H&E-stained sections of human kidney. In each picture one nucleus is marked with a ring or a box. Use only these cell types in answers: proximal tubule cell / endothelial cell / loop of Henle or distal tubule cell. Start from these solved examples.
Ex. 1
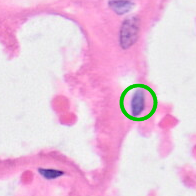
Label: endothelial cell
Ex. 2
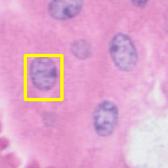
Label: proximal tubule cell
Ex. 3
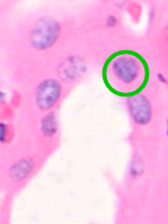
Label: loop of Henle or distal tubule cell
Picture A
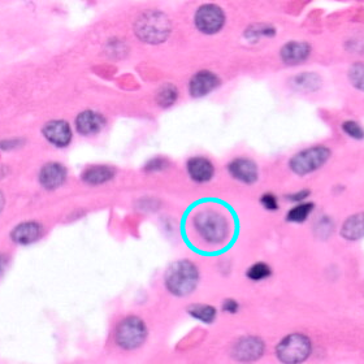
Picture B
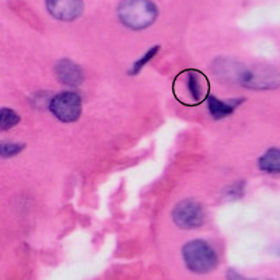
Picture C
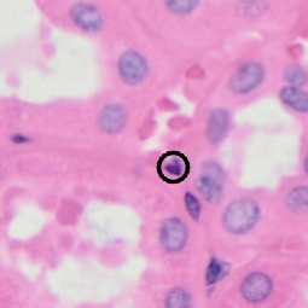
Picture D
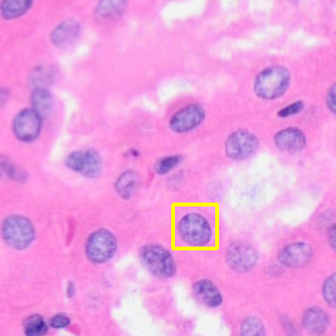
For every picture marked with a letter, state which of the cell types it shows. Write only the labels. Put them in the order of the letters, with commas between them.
loop of Henle or distal tubule cell, endothelial cell, endothelial cell, loop of Henle or distal tubule cell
